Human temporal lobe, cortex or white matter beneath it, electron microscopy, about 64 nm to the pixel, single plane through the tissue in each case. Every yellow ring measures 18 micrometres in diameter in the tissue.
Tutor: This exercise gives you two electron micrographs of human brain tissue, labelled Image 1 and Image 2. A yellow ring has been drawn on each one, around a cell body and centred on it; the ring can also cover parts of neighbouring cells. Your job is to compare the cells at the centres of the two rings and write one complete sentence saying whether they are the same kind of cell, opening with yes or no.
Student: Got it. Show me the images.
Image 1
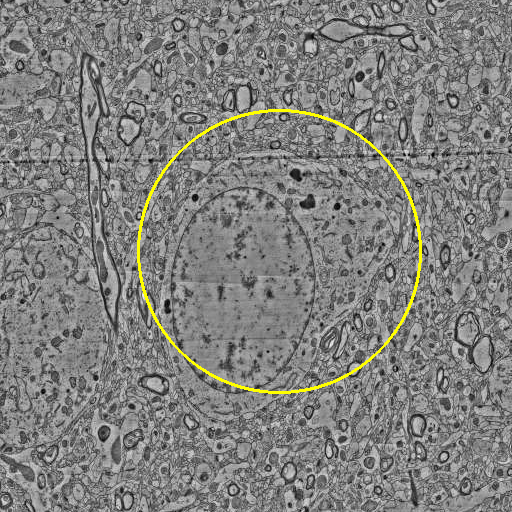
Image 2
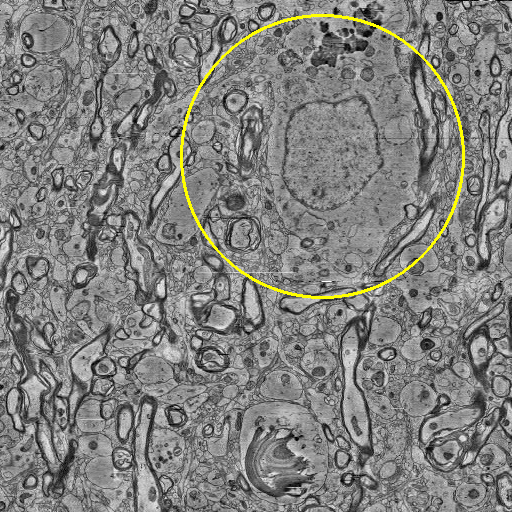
No, the two cells belong to two kinds.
